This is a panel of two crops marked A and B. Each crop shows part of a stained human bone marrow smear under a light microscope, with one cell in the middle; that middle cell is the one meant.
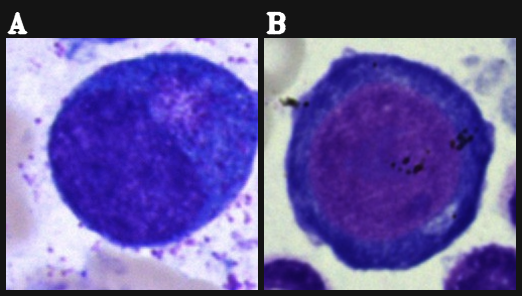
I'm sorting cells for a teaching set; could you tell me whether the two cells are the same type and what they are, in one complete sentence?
No, crop A is the one with a promyelocyte; crop B has a proerythroblast.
